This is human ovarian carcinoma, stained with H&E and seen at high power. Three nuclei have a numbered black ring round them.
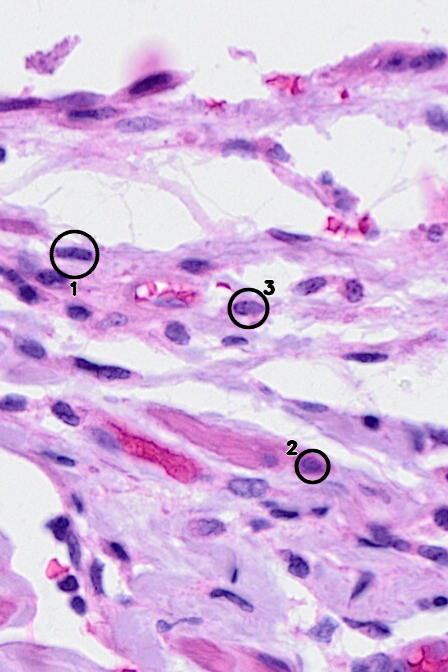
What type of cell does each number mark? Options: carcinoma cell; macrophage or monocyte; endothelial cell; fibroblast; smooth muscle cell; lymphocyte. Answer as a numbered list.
1. macrophage or monocyte
2. smooth muscle cell
3. macrophage or monocyte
